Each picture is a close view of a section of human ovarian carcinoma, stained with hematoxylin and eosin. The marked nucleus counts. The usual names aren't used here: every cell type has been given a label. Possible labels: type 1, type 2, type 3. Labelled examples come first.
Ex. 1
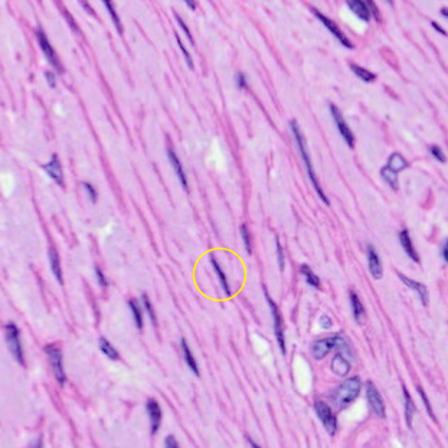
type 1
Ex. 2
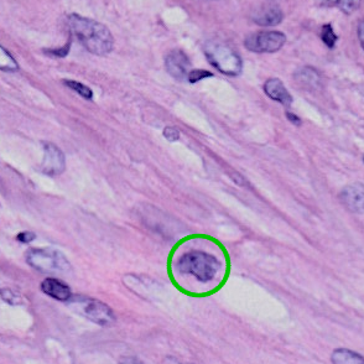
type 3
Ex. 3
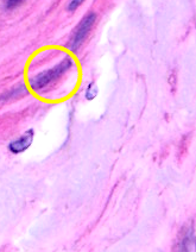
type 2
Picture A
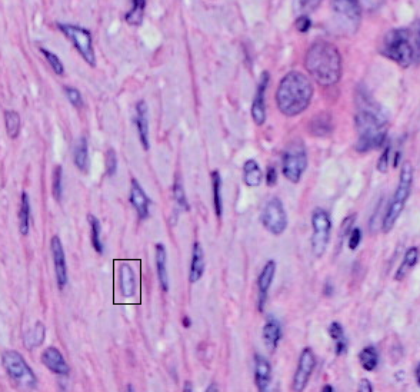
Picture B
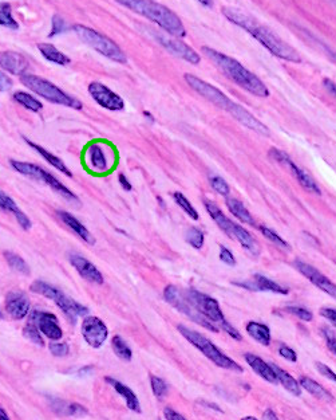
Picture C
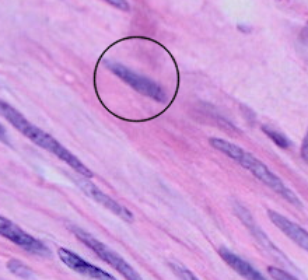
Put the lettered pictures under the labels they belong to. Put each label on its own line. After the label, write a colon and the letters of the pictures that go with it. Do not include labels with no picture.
type 1: A
type 2: B, C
